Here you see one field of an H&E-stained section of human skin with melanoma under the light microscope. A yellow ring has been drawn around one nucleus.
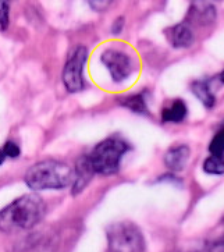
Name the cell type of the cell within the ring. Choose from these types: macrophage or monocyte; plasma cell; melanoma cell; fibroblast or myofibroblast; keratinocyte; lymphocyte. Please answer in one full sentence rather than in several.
Cytologically, the cell within the ring is to be regarded as a melanoma cell.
